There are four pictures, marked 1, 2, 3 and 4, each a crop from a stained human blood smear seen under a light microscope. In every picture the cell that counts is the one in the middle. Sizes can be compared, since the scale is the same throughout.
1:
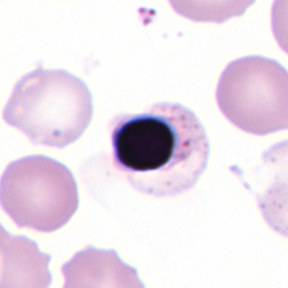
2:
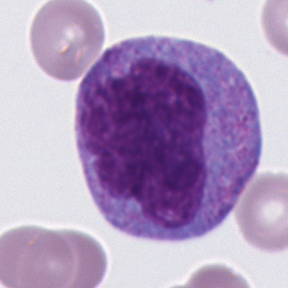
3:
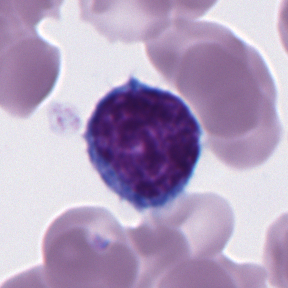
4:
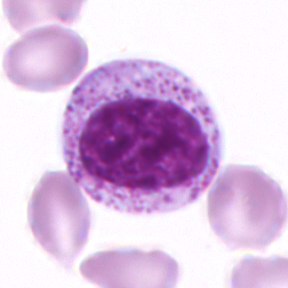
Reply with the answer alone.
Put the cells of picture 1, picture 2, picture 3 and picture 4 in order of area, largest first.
2, 4, 3, 1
